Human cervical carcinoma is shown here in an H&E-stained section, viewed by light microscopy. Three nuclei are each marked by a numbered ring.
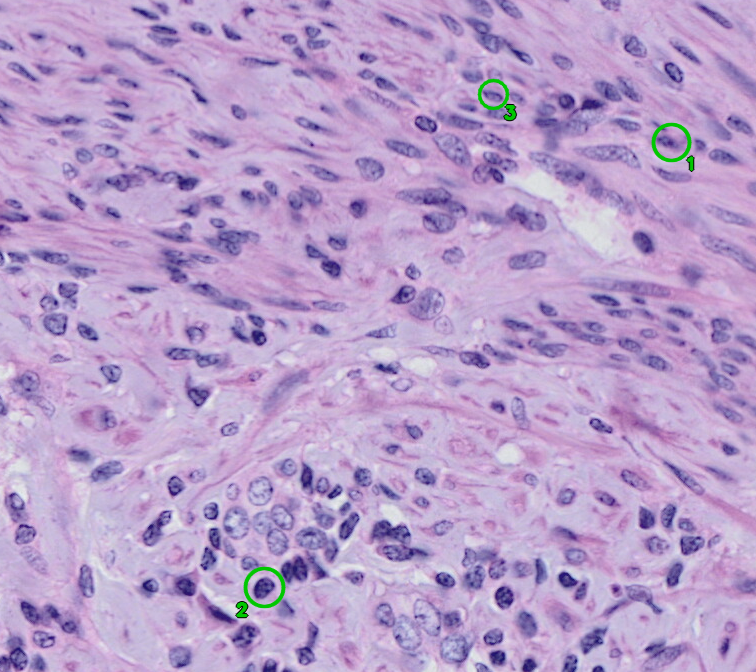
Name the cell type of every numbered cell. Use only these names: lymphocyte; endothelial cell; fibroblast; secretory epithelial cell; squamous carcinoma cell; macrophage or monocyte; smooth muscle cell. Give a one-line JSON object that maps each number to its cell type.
{"1": "smooth muscle cell", "2": "lymphocyte", "3": "smooth muscle cell"}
